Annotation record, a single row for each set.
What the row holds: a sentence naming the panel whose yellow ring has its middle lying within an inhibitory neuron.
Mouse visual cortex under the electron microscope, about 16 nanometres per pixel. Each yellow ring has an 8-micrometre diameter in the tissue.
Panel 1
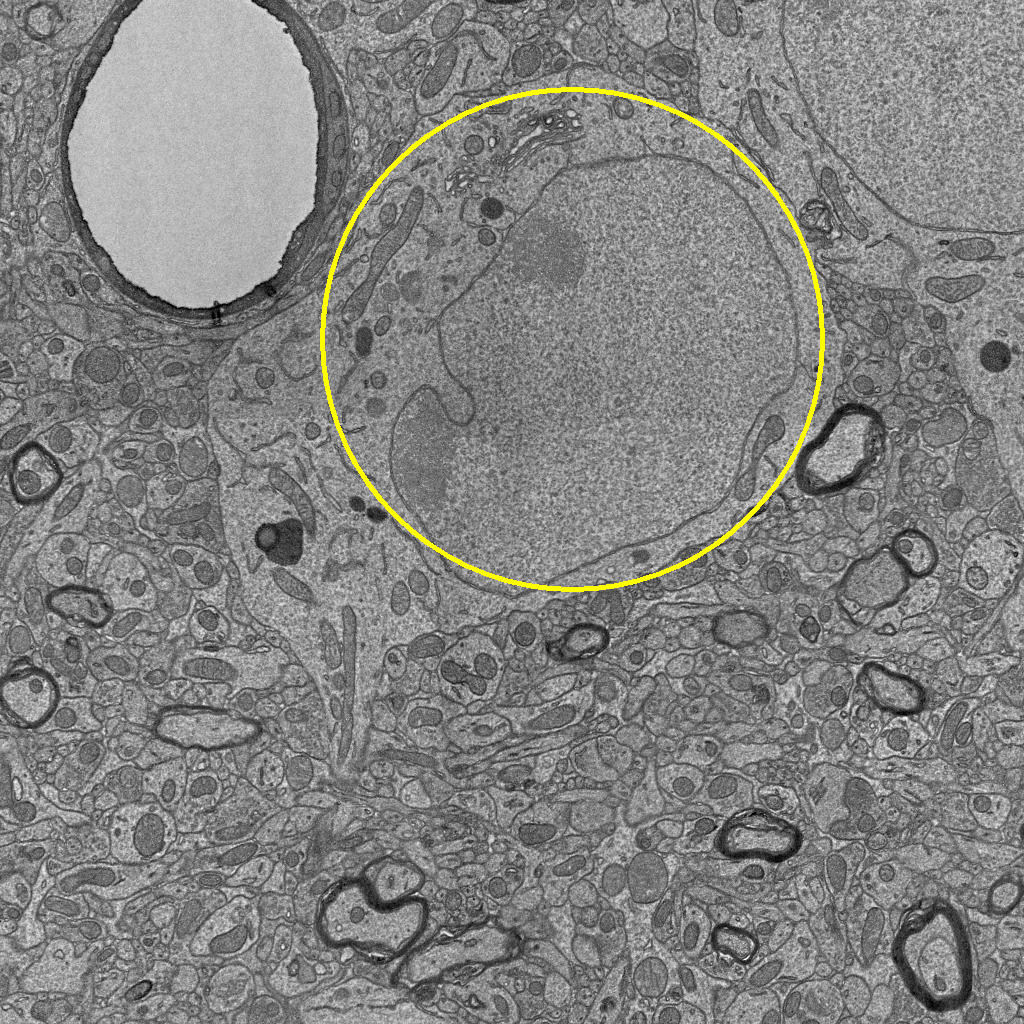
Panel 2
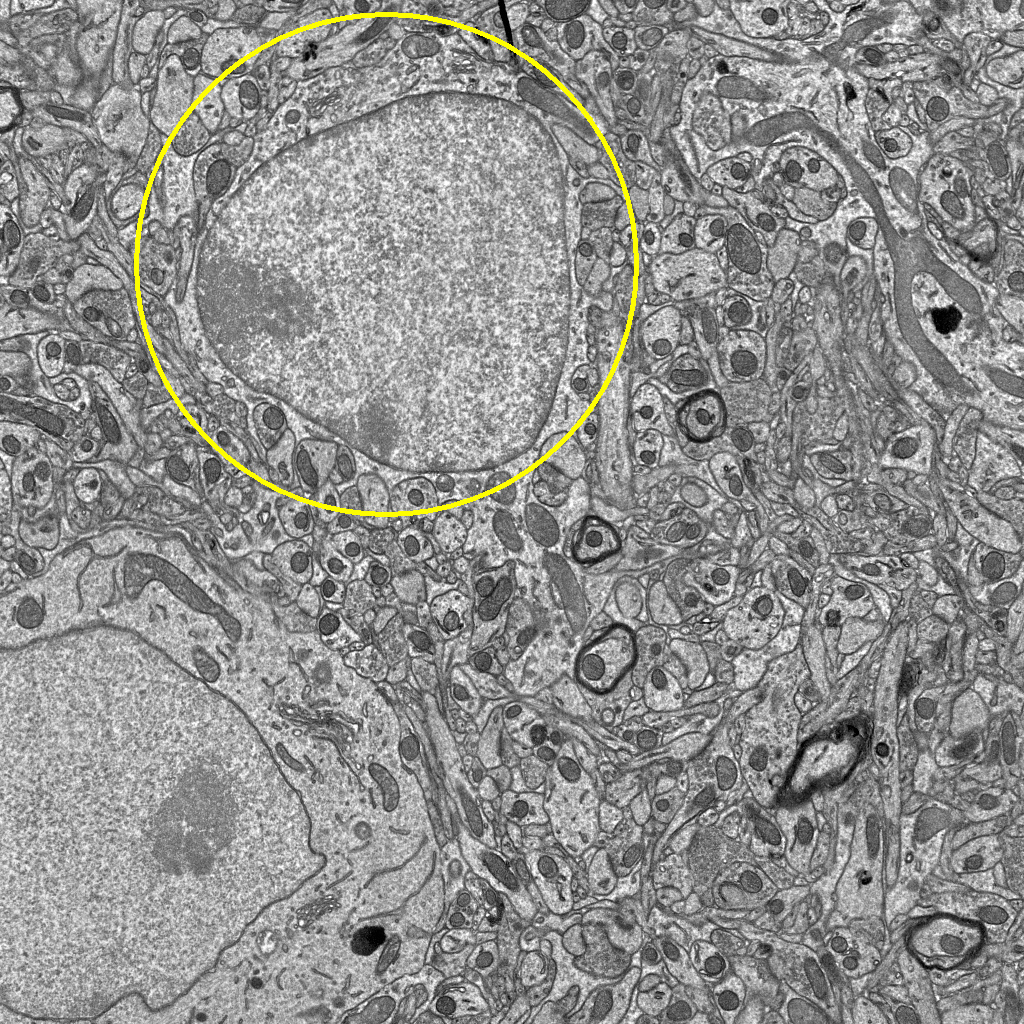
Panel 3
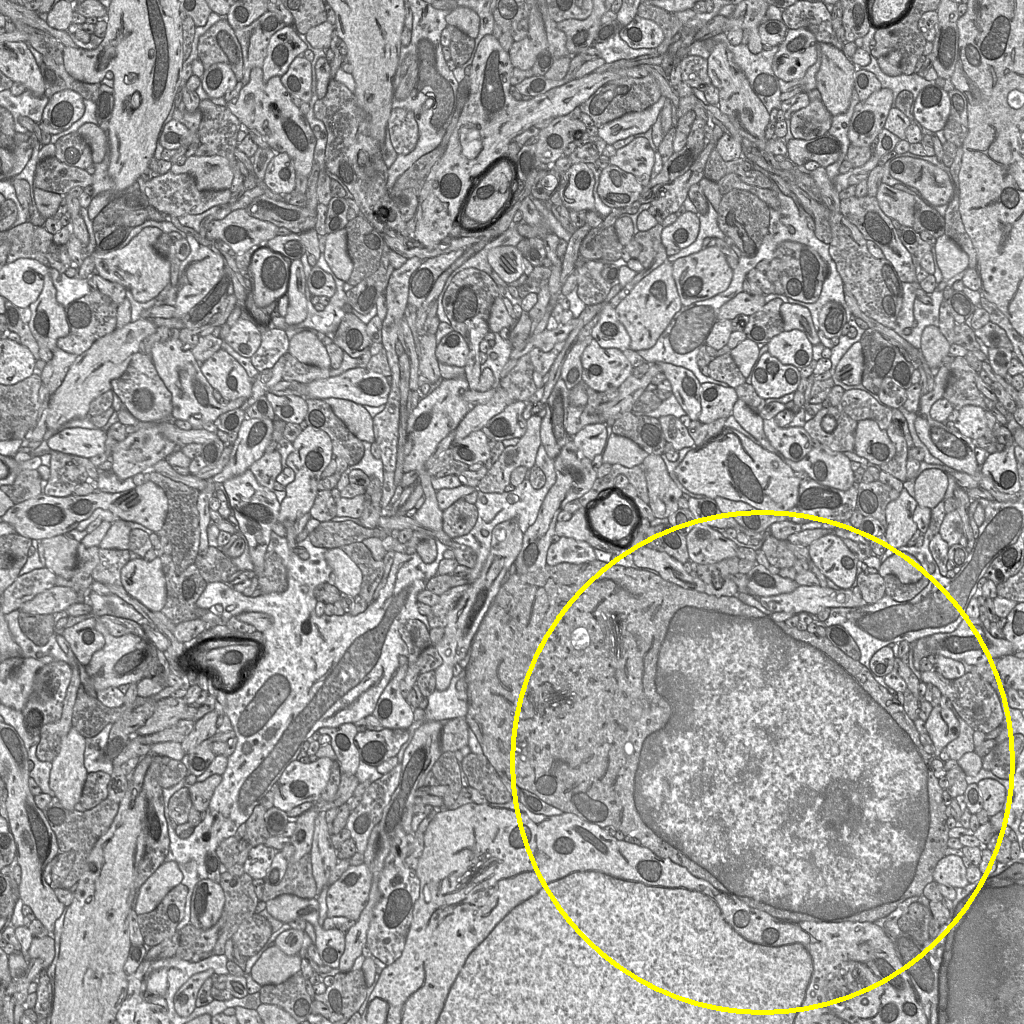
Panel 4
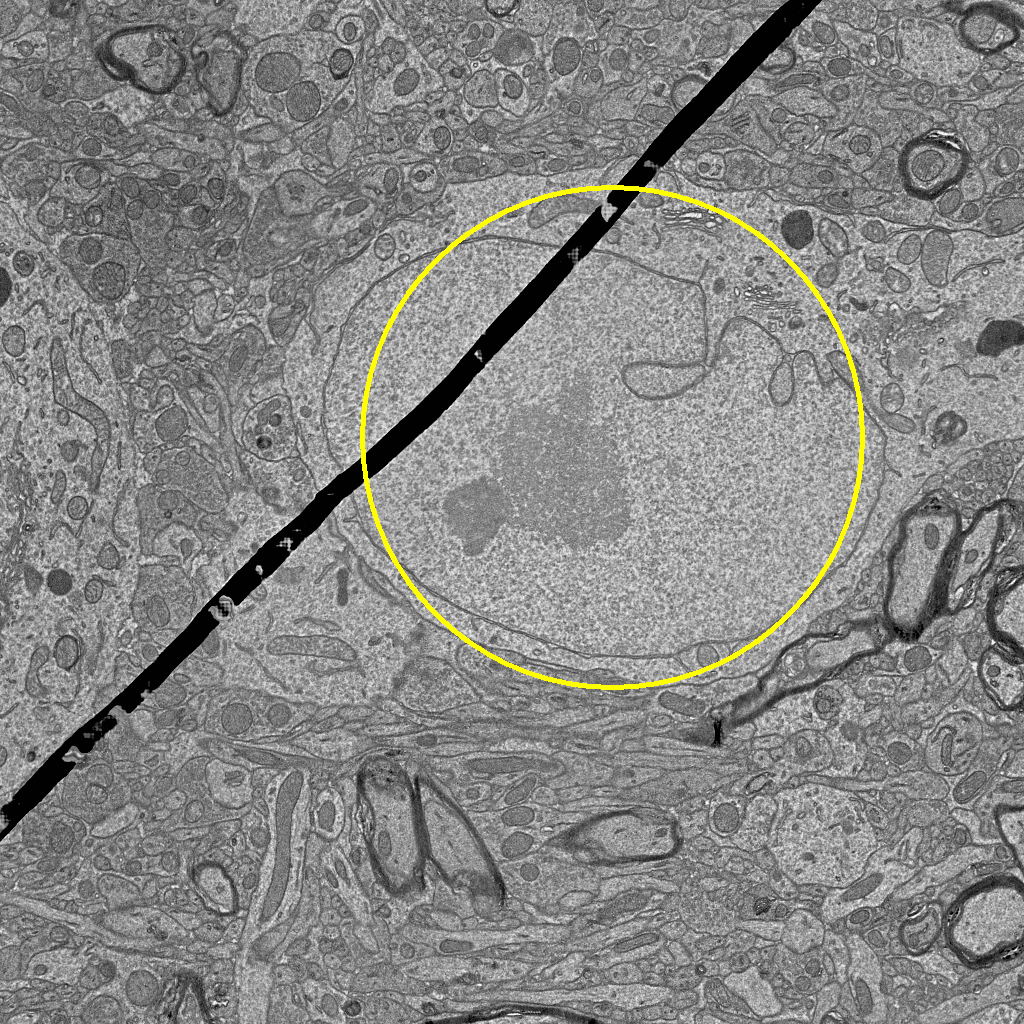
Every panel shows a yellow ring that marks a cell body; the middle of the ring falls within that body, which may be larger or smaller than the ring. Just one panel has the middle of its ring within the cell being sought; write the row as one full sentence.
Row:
In panel 4, the middle of the yellow ring lies within the cell that is sought.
